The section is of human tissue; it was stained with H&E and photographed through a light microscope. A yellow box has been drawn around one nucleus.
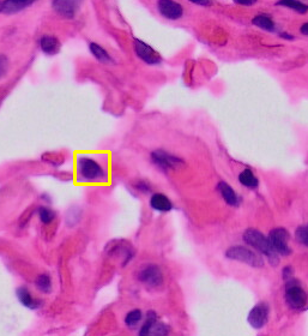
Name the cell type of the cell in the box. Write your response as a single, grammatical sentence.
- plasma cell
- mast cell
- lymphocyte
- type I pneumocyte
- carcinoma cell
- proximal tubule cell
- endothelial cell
Considered by cell type, the cell in the box is a type I pneumocyte.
